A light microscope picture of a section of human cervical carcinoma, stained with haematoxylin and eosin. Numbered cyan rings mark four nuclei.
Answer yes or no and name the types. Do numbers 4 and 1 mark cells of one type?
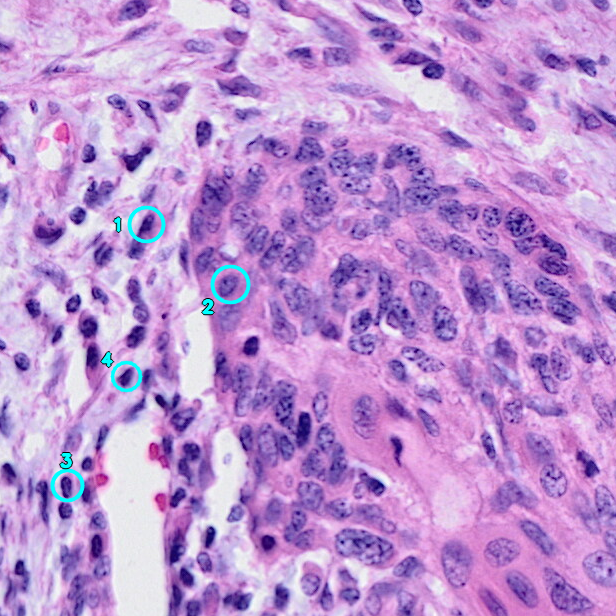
Yes, by their numbers, cells 4 and 1 are both lymphocytes.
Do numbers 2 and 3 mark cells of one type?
No, cell 2 is a squamous carcinoma cell, but cell 3 is a lymphocyte.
